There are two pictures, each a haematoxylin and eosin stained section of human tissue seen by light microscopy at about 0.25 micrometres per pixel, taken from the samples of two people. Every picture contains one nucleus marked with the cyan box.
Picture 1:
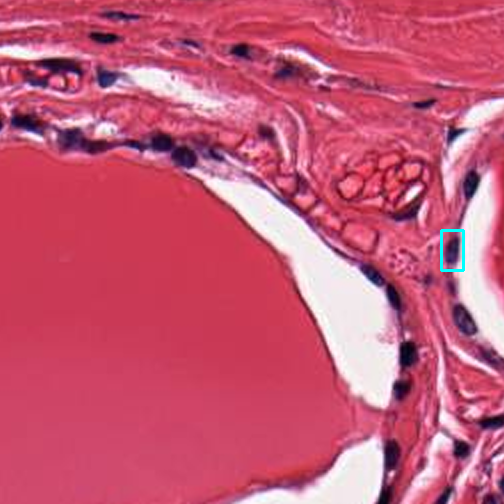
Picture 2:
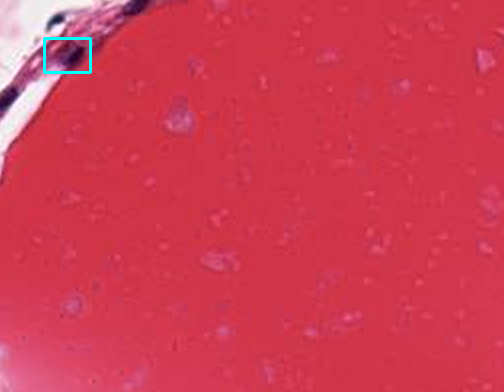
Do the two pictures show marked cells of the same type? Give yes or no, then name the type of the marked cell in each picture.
Yes, both are thyroid follicular cells.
